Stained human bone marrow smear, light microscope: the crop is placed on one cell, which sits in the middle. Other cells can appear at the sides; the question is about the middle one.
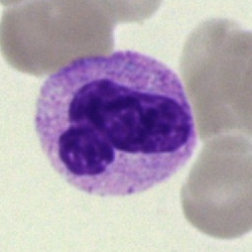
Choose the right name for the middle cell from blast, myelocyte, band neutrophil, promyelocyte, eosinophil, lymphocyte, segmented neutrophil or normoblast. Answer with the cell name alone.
segmented neutrophil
